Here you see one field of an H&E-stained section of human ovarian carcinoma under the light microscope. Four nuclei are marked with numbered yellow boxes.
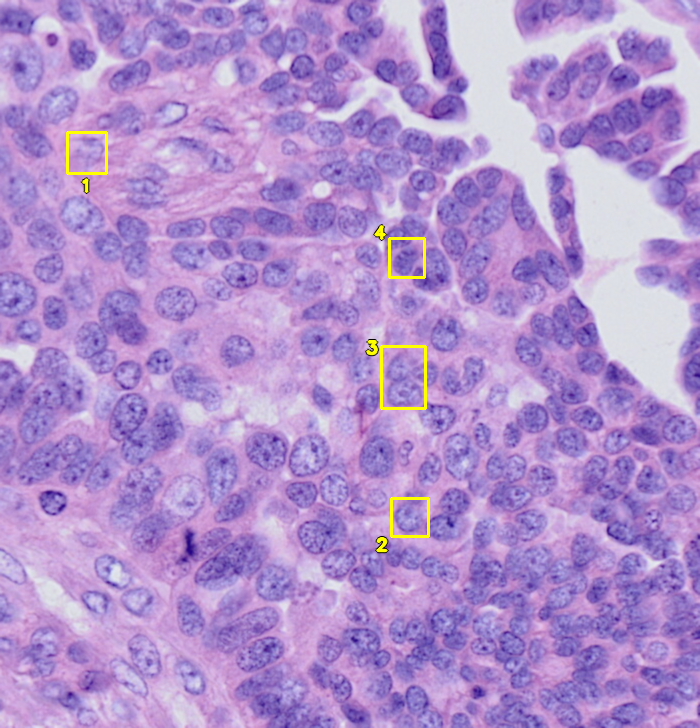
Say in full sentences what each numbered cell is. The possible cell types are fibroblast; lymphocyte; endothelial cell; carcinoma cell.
Cell 1 is a fibroblast, cell 2 is a carcinoma cell, cell 3 is a carcinoma cell and cell 4 is a carcinoma cell.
